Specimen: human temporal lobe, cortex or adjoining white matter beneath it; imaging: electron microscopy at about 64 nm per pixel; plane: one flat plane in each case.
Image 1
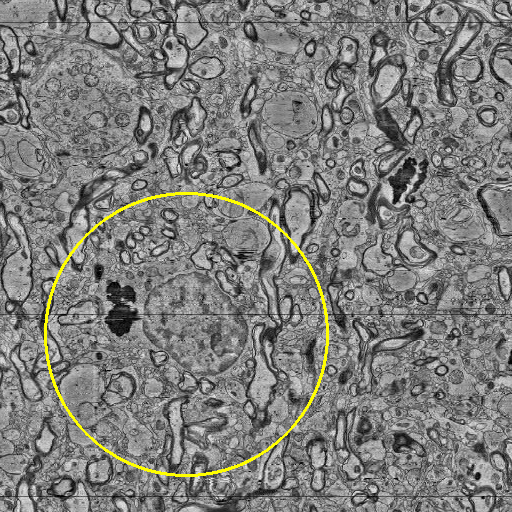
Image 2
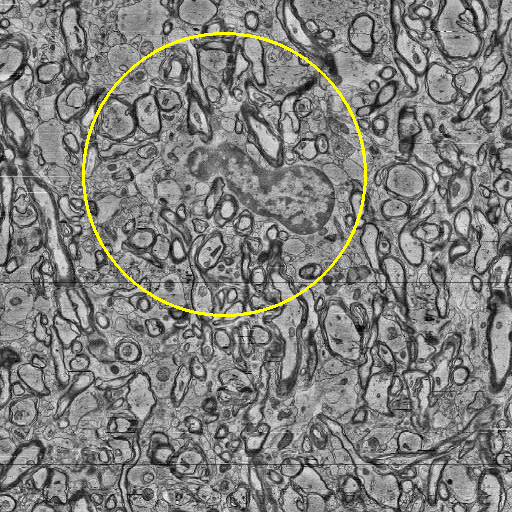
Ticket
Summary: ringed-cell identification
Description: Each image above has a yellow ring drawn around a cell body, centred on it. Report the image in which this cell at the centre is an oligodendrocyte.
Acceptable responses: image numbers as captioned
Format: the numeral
1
